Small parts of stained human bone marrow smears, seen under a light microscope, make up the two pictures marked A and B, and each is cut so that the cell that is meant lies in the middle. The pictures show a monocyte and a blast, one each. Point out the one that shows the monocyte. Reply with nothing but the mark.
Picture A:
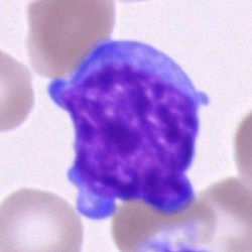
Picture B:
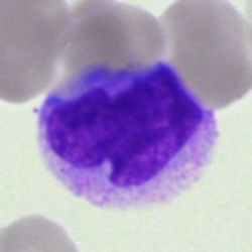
B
